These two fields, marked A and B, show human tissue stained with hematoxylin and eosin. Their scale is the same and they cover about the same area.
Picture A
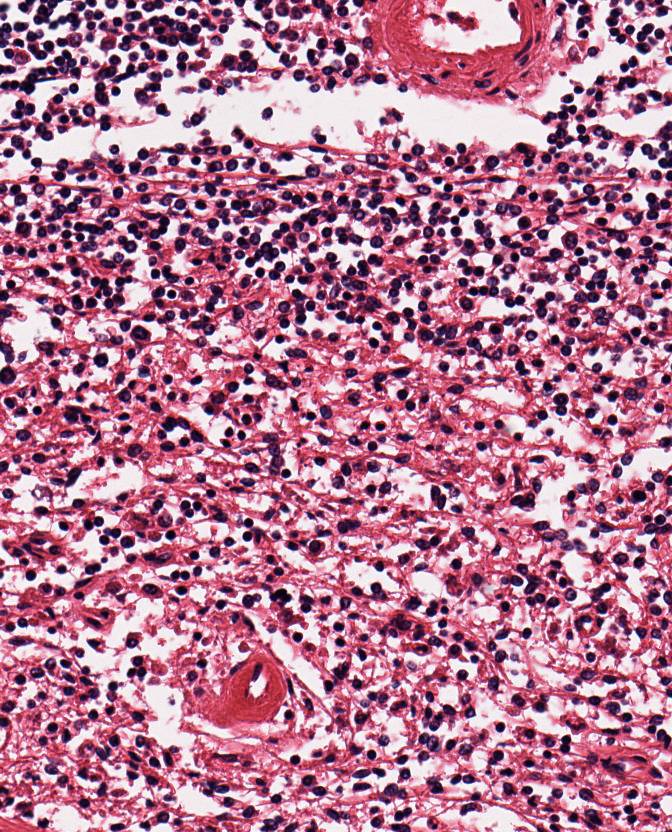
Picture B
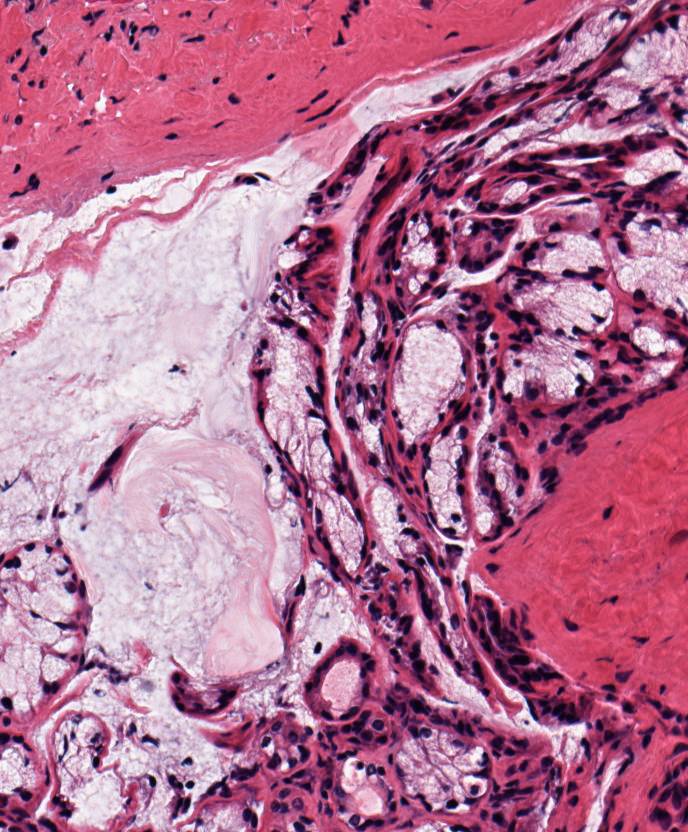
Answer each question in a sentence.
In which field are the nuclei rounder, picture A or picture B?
The nuclei are rounder in picture A.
